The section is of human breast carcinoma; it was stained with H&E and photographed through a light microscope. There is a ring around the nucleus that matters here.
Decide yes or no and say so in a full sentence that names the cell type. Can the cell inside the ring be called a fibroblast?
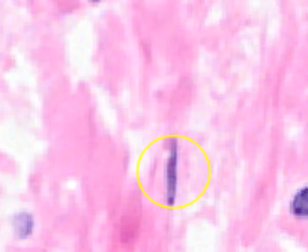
Yes, correct on this one: the cell inside the ring is a fibroblast.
